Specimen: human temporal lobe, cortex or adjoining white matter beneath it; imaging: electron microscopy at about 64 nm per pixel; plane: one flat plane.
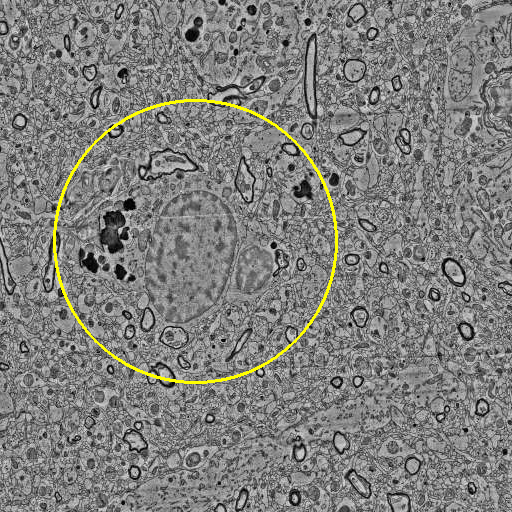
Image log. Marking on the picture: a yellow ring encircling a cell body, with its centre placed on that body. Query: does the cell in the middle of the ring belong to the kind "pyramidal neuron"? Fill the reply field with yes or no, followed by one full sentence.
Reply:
No, the cell at the centre of the yellow ring in this picture belongs to a different kind.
